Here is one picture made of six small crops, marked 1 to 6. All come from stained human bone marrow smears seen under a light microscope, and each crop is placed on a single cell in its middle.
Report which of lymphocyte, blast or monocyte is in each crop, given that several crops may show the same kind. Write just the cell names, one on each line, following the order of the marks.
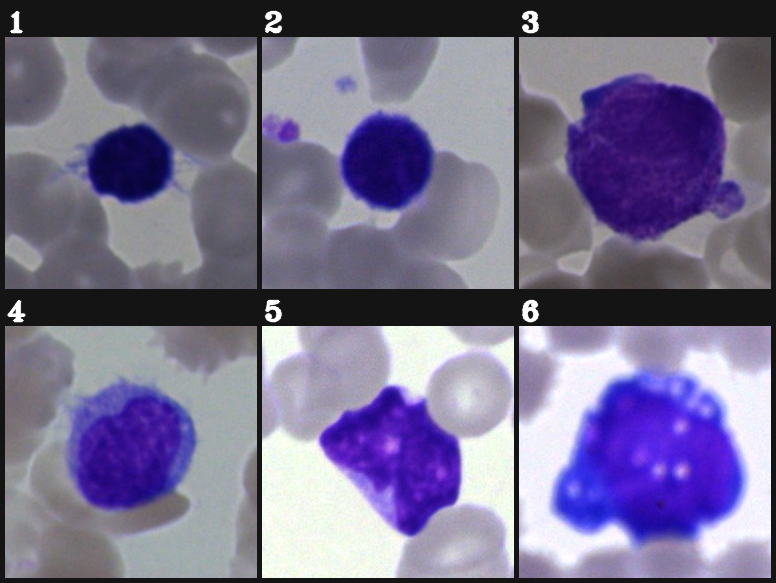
lymphocyte
lymphocyte
blast
monocyte
blast
blast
